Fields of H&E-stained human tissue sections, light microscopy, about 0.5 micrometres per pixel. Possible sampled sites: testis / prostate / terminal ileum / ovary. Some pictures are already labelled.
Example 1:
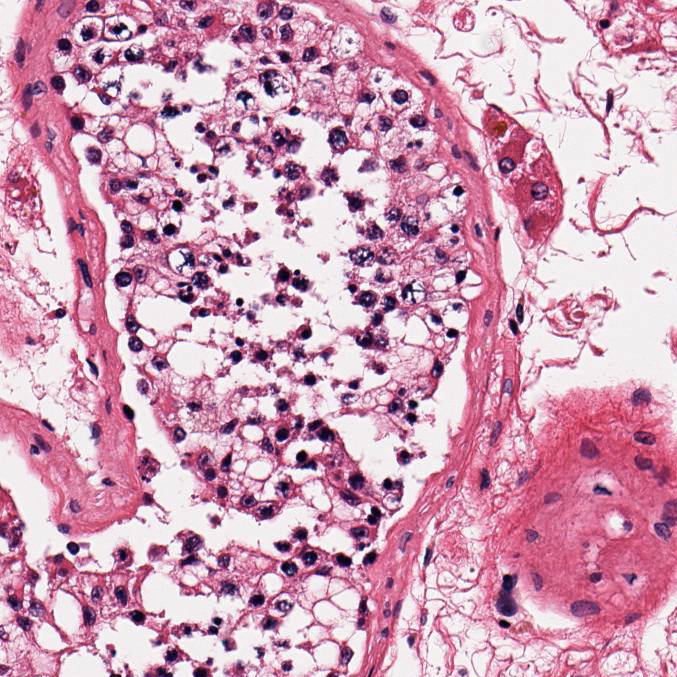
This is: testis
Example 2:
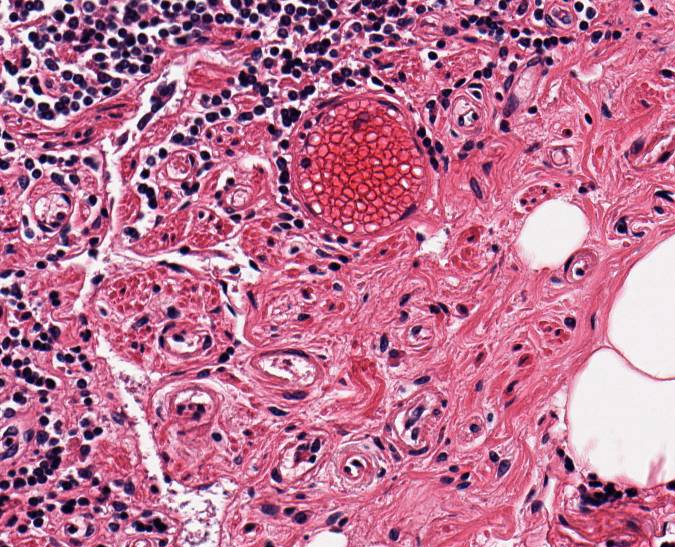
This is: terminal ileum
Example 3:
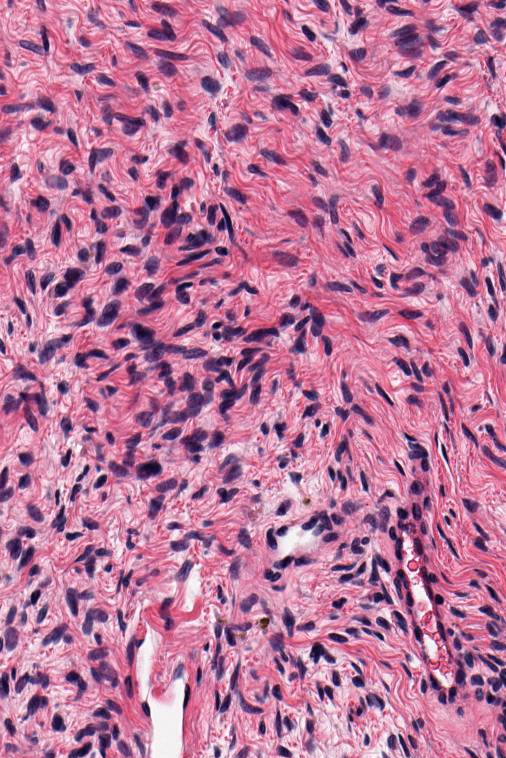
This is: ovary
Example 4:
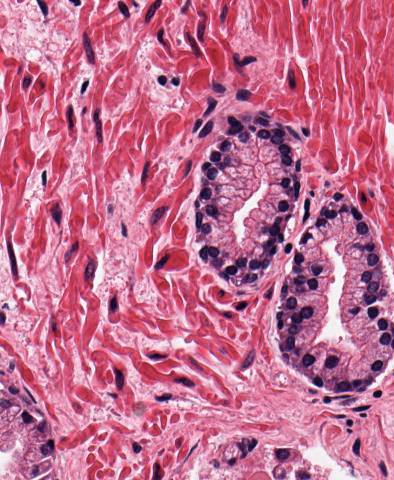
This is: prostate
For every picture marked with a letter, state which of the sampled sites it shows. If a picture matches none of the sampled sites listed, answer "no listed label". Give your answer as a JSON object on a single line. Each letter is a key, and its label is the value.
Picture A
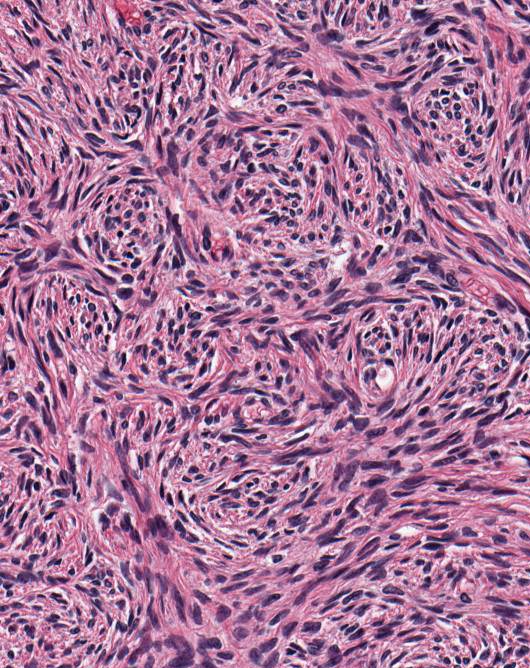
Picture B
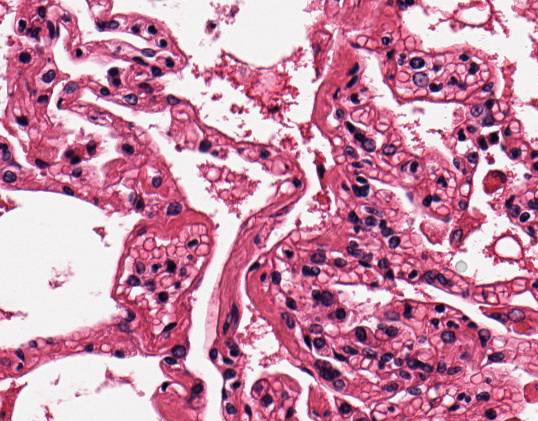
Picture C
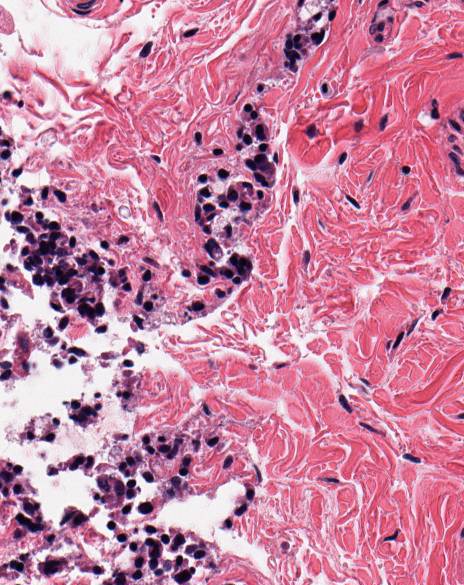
{"A": "ovary", "B": "no listed label", "C": "terminal ileum"}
